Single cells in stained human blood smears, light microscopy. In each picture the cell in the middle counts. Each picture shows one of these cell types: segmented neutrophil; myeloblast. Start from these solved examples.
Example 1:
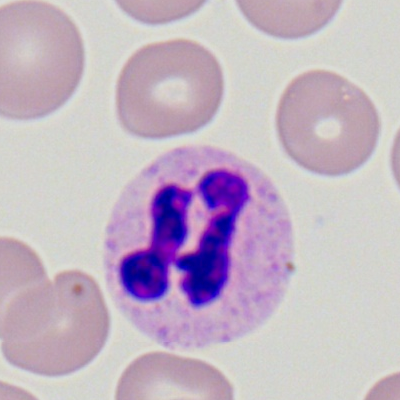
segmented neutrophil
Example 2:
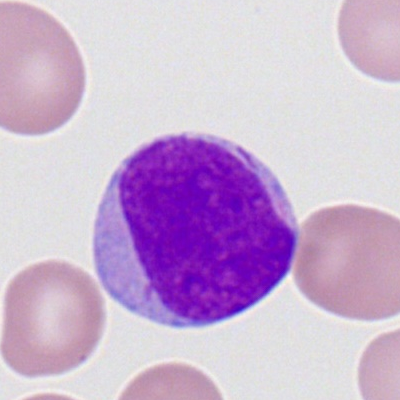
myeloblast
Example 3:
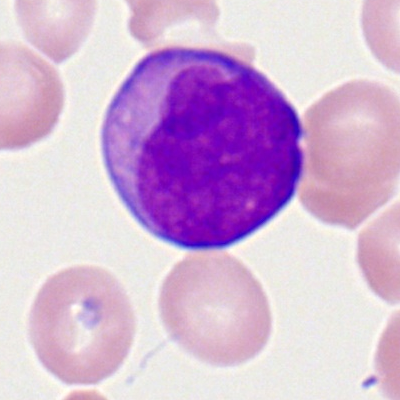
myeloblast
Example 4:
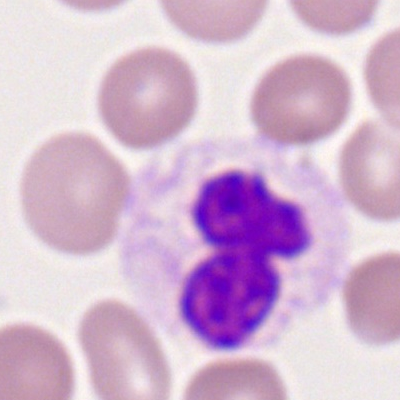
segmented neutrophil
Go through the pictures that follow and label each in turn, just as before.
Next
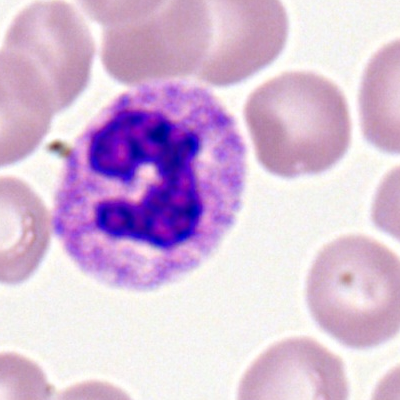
segmented neutrophil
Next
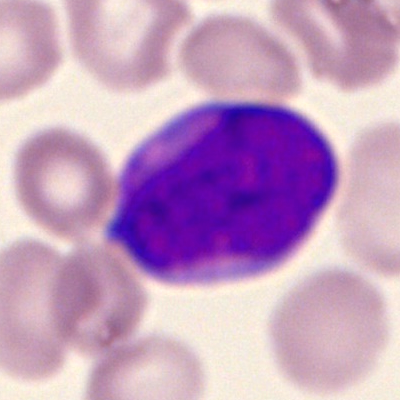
myeloblast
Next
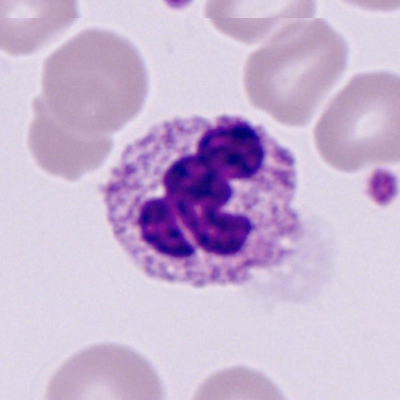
segmented neutrophil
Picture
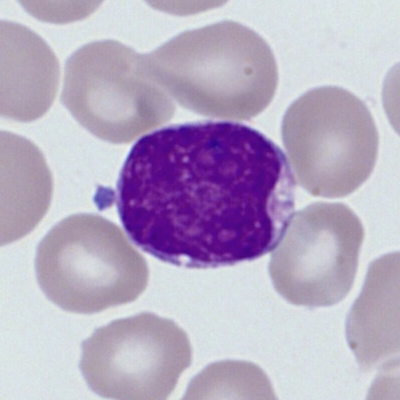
myeloblast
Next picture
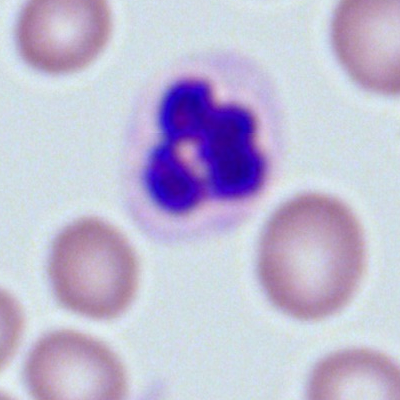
segmented neutrophil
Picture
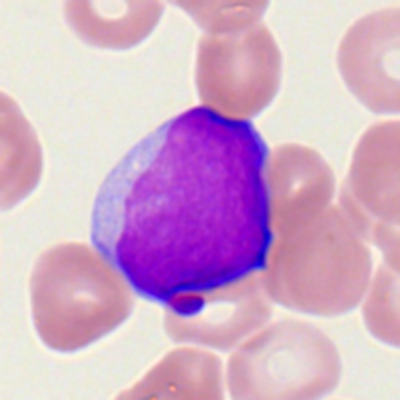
myeloblast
